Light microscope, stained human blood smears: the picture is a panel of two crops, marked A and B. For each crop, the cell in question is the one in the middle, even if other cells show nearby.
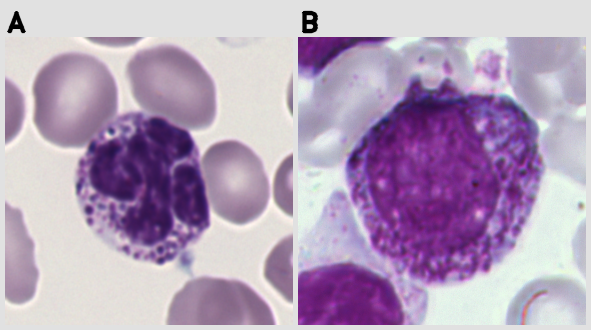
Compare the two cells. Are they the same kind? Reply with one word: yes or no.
no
